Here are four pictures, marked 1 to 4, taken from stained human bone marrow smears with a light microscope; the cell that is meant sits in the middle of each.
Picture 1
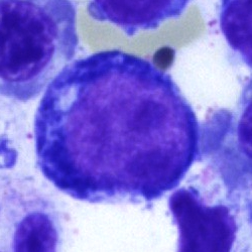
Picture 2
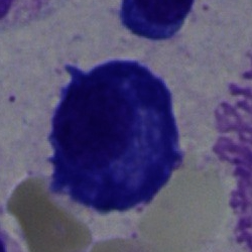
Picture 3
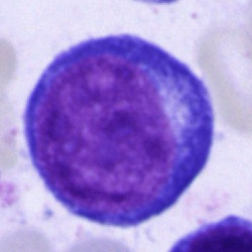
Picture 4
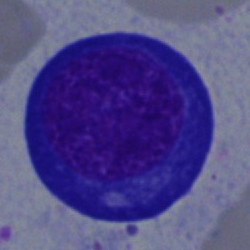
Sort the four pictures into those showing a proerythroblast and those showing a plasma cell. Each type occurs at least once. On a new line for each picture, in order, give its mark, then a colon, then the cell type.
1: proerythroblast
2: plasma cell
3: proerythroblast
4: proerythroblast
